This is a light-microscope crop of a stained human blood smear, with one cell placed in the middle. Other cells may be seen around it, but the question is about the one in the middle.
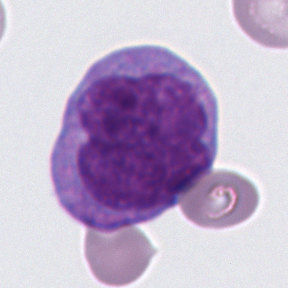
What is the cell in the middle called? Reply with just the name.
atypical promyelocyte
